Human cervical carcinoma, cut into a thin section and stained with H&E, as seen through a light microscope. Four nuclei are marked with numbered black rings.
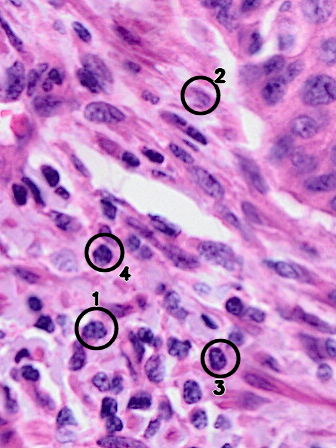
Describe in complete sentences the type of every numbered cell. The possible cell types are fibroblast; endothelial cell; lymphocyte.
Cells 1, 3 and 4 are lymphocytes. Cell 2 is a fibroblast.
